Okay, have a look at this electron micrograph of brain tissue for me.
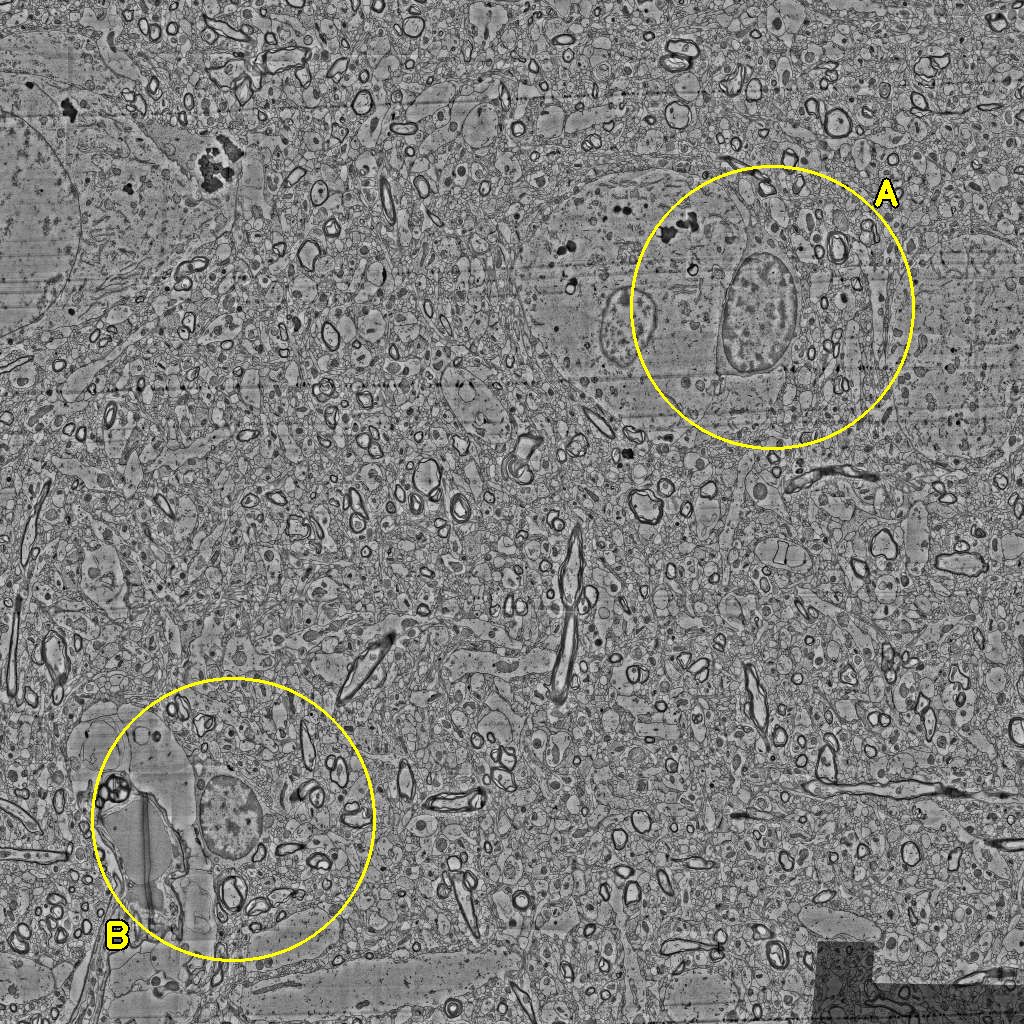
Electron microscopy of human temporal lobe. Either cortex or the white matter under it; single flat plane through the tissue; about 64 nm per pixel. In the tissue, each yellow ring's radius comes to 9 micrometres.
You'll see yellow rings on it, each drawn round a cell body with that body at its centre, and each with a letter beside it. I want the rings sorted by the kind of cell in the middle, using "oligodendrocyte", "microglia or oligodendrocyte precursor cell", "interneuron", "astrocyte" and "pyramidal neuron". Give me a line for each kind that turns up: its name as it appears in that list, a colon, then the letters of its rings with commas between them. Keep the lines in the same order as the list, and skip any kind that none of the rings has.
oligodendrocyte: A, B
